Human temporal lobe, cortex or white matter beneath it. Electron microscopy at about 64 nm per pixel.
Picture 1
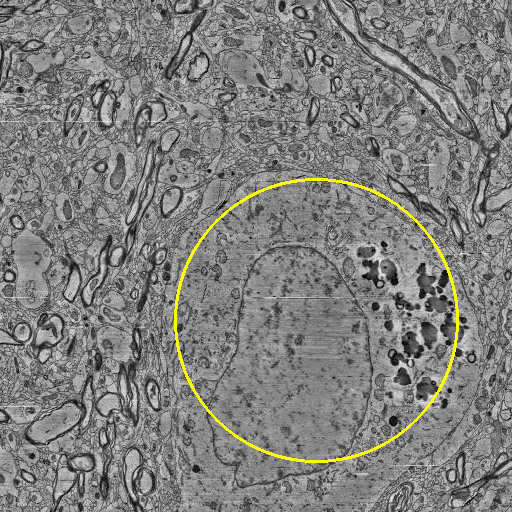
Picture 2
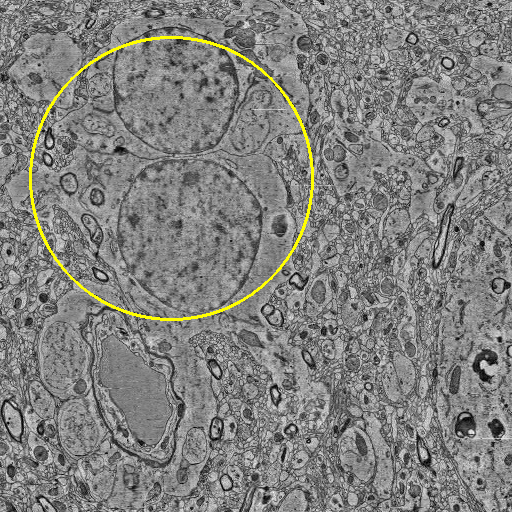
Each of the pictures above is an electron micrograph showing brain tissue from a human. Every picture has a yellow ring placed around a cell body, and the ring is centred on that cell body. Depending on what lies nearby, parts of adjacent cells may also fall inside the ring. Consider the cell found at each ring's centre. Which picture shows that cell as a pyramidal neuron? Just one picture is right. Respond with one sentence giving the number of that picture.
The picture showing the wanted cell at the ring's centre is number 1.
